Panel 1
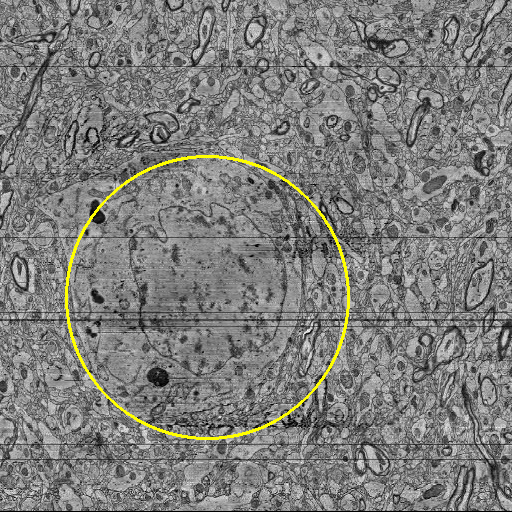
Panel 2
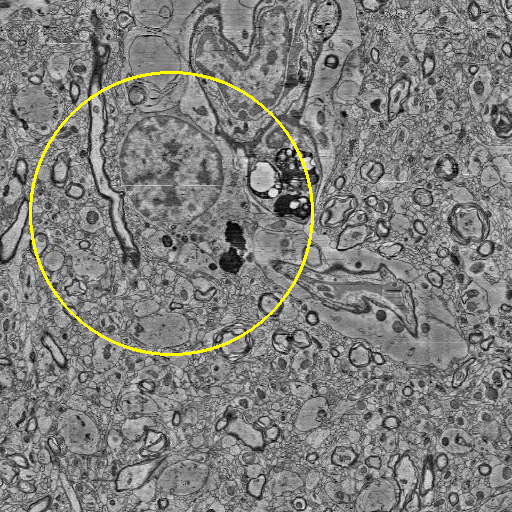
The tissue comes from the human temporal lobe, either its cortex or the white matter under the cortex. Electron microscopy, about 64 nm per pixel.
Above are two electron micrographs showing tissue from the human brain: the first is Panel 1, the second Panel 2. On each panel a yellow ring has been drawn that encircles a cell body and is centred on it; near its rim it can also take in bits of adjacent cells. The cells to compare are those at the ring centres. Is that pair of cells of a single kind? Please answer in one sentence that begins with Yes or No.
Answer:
No, the ring-centred cells of Panel 1 and Panel 2 belong to two kinds.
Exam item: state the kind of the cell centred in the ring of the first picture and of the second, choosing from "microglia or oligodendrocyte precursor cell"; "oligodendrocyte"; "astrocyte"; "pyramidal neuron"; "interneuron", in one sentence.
The first picture shows a pyramidal neuron at the ring centre and the second shows an oligodendrocyte.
